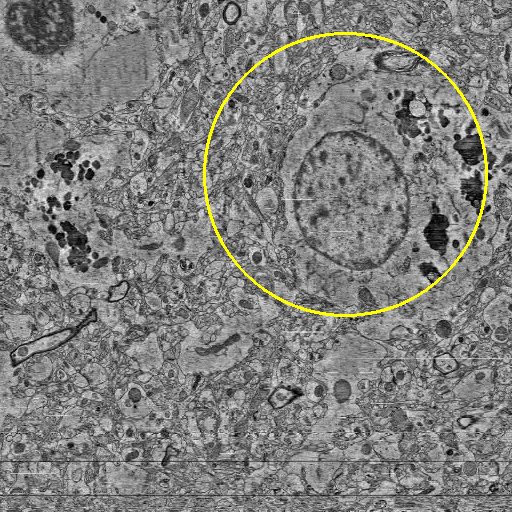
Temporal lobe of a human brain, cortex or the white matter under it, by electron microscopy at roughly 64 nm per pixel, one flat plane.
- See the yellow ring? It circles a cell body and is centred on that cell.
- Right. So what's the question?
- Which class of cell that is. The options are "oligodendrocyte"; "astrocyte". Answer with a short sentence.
The centre of the ring holds an astrocyte.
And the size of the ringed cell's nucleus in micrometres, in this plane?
Roughly 9 by 7 micrometres in this plane, for the nucleus of the ringed cell.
